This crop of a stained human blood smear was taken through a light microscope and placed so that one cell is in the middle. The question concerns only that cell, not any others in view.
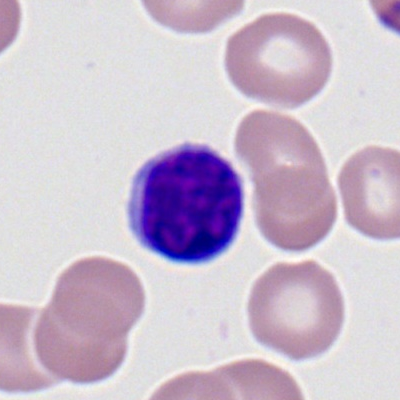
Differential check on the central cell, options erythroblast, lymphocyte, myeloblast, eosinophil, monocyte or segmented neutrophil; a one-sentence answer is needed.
Classification of the middle cell gives a lymphocyte.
